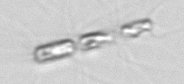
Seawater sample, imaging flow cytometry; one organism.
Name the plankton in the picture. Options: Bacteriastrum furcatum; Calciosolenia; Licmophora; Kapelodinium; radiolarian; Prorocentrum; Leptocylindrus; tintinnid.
Bacteriastrum furcatum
